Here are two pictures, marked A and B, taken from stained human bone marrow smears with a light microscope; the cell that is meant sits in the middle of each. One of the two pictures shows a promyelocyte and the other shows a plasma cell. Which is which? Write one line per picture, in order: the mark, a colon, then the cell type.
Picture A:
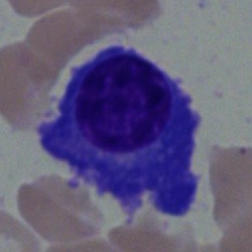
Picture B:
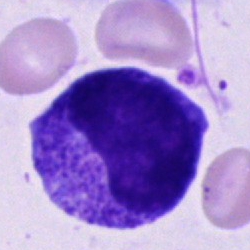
A: plasma cell
B: promyelocyte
